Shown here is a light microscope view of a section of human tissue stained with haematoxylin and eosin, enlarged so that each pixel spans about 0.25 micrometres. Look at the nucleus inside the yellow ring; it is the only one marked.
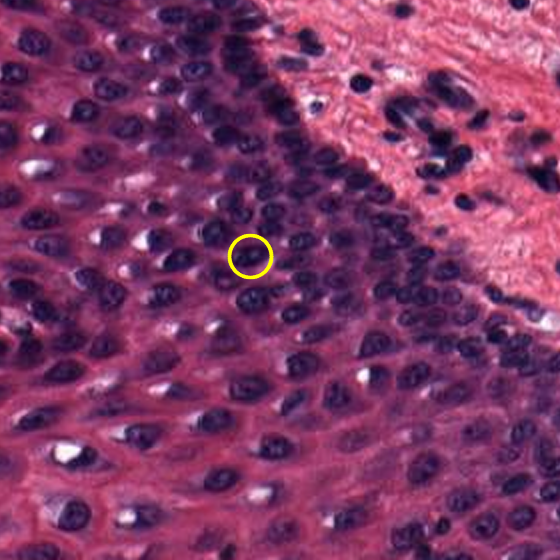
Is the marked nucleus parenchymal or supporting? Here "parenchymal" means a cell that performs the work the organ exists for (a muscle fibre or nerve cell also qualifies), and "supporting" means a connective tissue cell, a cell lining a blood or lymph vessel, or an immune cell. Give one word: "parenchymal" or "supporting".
parenchymal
